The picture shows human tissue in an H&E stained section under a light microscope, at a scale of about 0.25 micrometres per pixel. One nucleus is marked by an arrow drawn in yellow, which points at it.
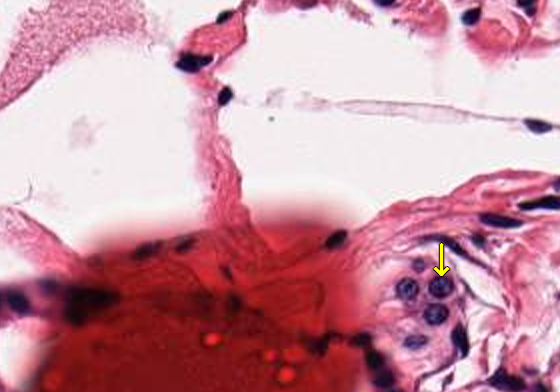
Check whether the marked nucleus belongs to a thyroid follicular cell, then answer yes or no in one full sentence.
Yes, a thyroid follicular cell contains the marked nucleus.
